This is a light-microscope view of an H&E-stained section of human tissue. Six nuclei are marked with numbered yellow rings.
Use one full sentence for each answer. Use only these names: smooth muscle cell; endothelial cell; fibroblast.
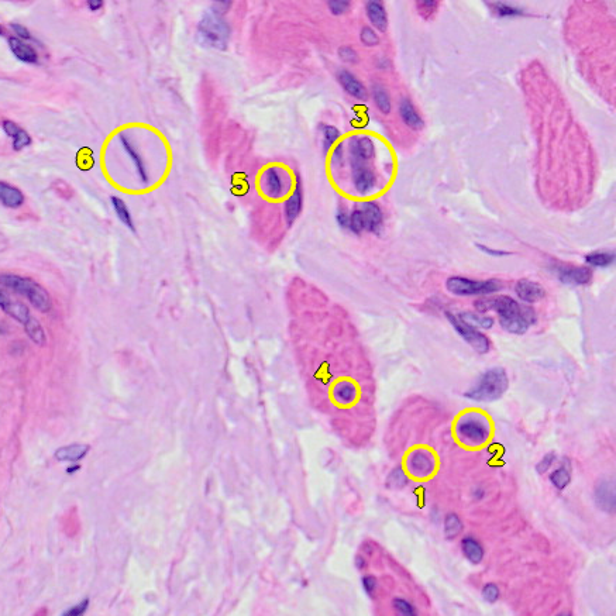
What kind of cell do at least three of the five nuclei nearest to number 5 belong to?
Of the five nuclei nearest to number 5, most belong to endothelial cells.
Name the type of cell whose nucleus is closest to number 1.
It is a smooth muscle cell whose nucleus is nearest to number 1.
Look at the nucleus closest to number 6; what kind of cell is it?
The nucleus nearest to number 6 is that of a fibroblast.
